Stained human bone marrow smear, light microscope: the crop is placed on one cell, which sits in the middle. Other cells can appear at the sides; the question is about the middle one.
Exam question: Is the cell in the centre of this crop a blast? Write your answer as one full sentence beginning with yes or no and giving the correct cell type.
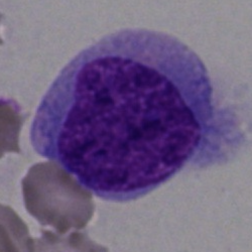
Yes, the crop is centred on a blast.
